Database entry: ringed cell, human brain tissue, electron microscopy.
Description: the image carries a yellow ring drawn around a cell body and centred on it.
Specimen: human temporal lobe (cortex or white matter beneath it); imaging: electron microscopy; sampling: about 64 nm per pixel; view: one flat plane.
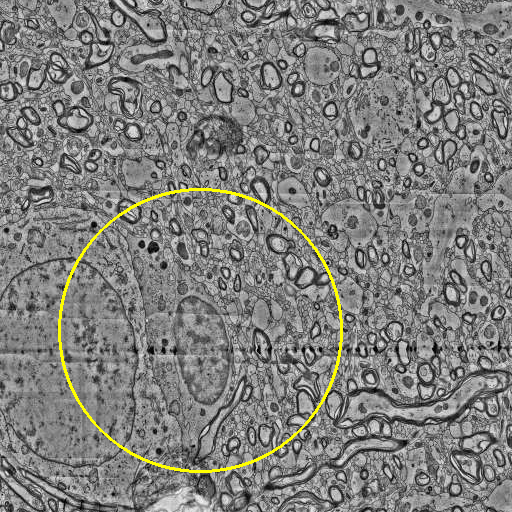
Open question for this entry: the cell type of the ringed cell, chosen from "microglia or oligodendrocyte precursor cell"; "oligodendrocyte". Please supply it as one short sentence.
The ringed cell is an oligodendrocyte.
